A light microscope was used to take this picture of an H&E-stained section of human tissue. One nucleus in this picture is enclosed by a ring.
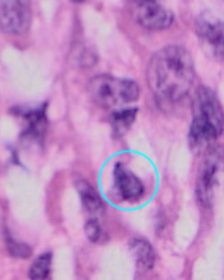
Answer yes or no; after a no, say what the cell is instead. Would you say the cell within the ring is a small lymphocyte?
No, it is a melanoma cell.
